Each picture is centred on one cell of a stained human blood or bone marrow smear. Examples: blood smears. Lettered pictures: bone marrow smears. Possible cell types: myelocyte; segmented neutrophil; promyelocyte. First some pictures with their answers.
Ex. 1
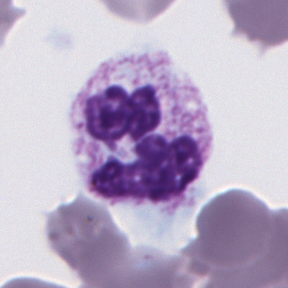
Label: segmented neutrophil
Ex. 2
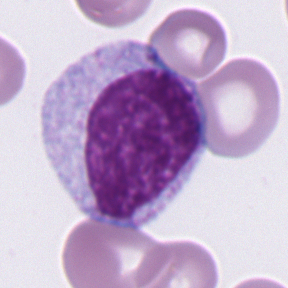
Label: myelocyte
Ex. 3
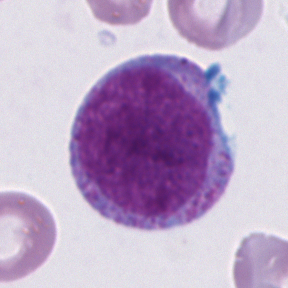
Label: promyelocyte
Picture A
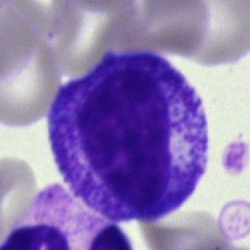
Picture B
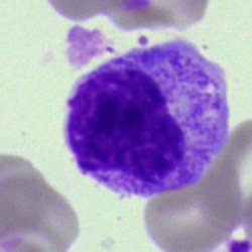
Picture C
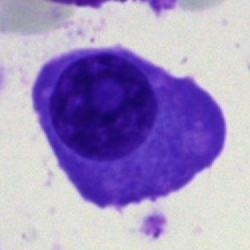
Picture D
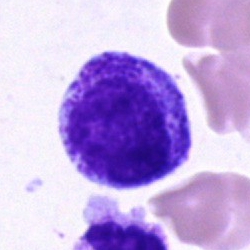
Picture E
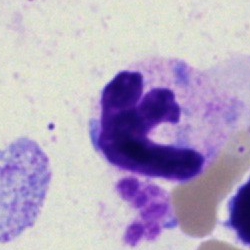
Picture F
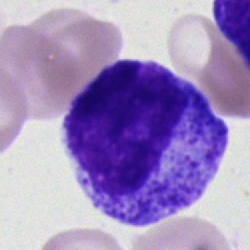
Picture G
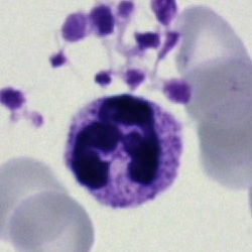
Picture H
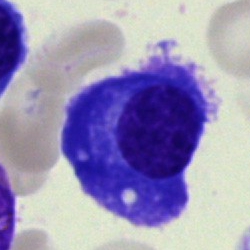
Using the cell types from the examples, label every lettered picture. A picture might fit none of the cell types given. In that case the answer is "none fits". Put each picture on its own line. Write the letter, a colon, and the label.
A: myelocyte
B: myelocyte
C: none fits
D: myelocyte
E: segmented neutrophil
F: myelocyte
G: segmented neutrophil
H: none fits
